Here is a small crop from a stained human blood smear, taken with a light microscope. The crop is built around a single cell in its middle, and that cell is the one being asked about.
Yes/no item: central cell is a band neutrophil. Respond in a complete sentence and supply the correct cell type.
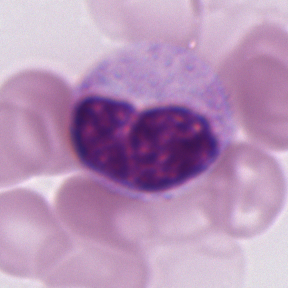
Yes, the identification of the central cell as a band neutrophil is correct.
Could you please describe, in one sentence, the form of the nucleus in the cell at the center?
Two or more lobes make up the nucleus of this cell.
